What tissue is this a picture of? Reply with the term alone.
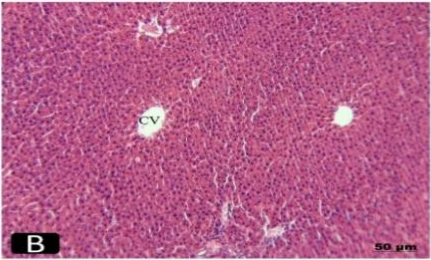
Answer: Liver tissue.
